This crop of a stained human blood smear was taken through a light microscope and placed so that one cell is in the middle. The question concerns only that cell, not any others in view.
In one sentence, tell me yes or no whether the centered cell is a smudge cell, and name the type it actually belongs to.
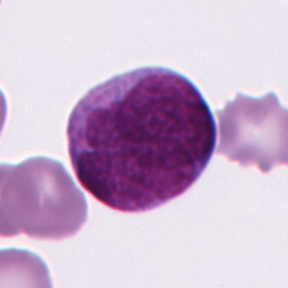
No, the central cell in this crop is a myeloblast and not a smudge cell.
